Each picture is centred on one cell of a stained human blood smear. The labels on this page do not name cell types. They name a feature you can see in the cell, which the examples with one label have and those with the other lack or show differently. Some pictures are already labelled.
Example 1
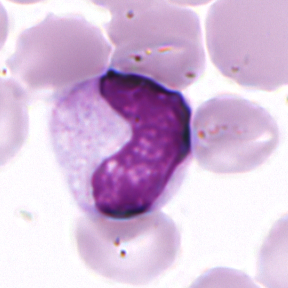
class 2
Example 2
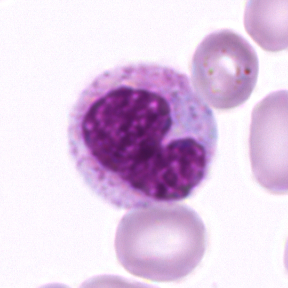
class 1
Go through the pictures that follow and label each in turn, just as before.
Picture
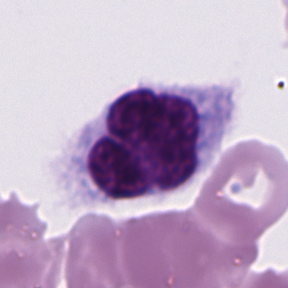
class 1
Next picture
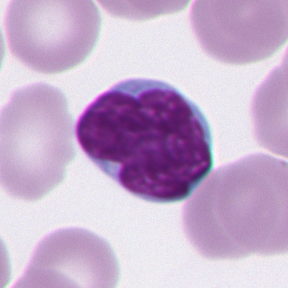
class 1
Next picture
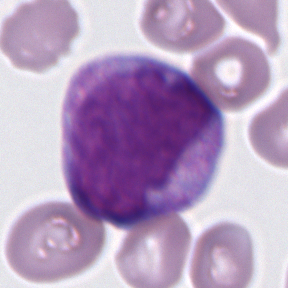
class 2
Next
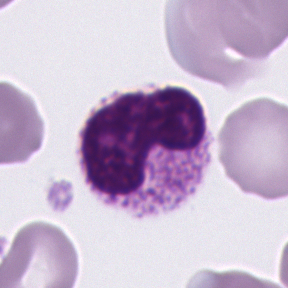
class 2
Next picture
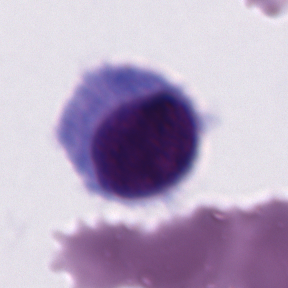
class 2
